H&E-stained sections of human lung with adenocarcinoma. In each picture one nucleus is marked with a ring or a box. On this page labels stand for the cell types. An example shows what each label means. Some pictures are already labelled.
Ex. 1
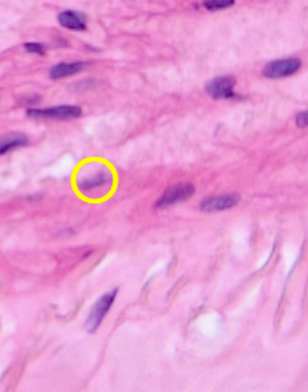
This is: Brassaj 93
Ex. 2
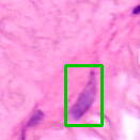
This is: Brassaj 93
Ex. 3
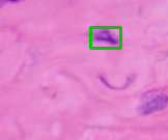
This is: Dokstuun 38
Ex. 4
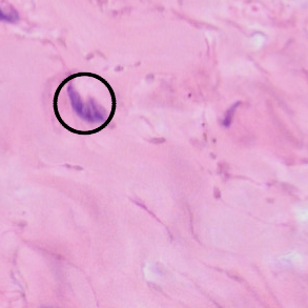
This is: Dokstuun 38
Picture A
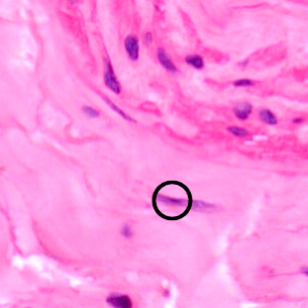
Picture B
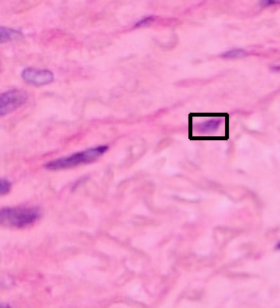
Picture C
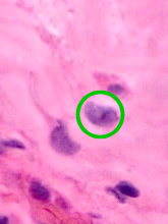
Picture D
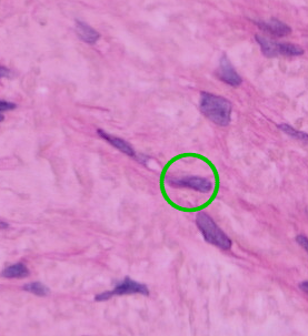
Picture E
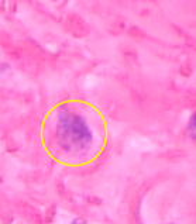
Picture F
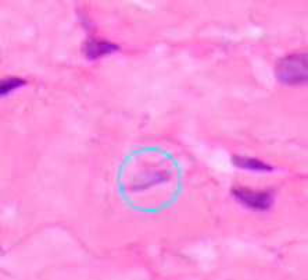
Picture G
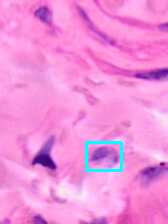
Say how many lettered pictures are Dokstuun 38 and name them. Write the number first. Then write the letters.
5, namely A, C, E, F, G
